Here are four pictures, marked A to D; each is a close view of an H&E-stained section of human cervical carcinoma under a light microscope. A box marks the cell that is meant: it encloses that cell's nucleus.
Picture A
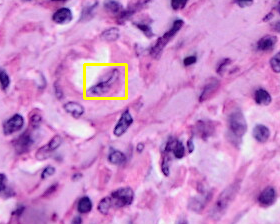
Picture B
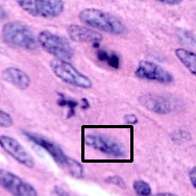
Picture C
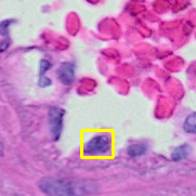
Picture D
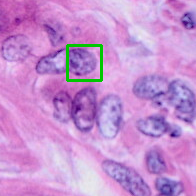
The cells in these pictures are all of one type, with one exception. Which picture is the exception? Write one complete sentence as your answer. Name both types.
The others show endothelial cells, but picture B shows a squamous carcinoma cell.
